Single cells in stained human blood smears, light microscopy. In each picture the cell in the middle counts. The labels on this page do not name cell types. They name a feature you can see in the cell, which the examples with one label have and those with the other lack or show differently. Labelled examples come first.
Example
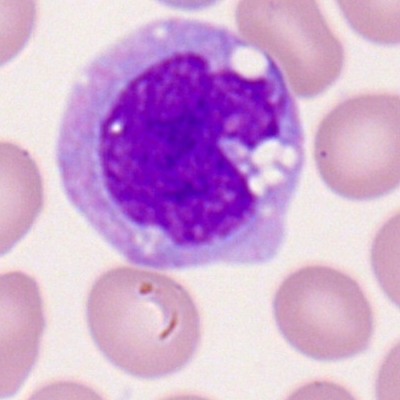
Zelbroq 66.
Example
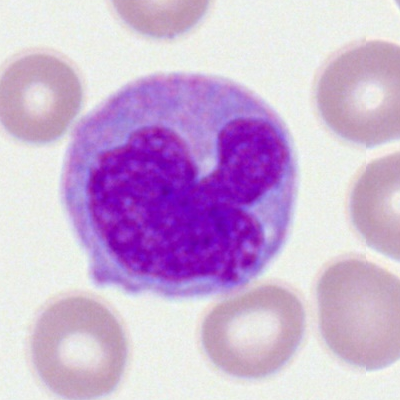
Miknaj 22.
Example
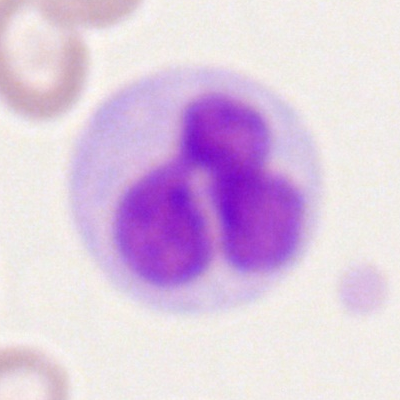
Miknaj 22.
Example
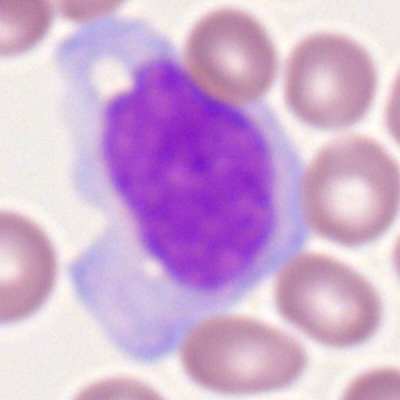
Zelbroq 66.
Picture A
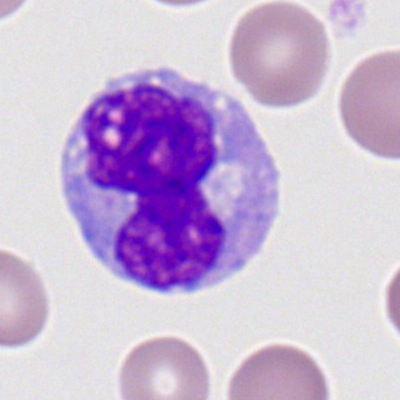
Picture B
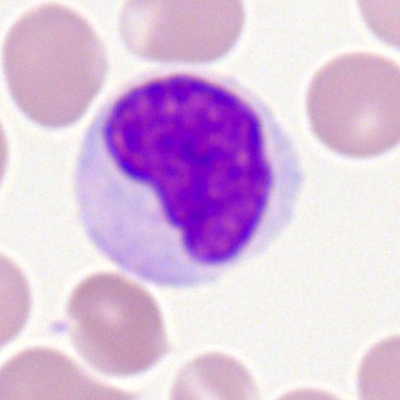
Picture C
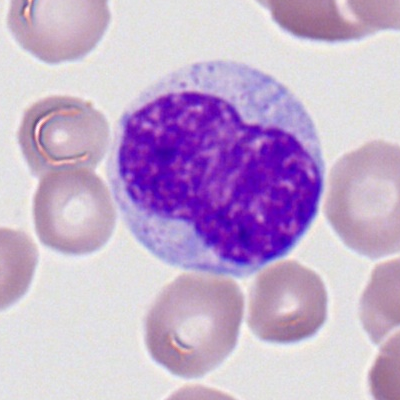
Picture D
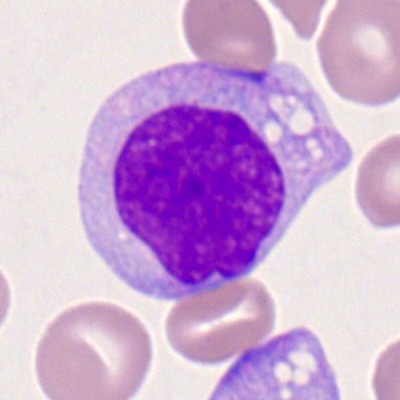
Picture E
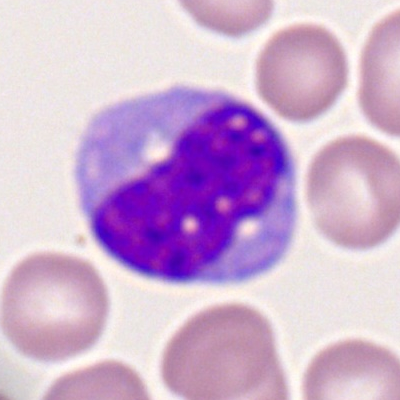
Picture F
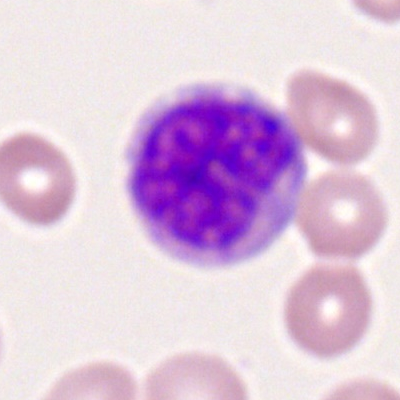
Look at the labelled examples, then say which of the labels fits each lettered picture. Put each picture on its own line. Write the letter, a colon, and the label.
A: Miknaj 22.
B: Zelbroq 66.
C: Zelbroq 66.
D: Zelbroq 66.
E: Miknaj 22.
F: Zelbroq 66.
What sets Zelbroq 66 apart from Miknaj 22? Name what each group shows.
Zelbroq 66: single compact nucleus; Miknaj 22: lobed nucleus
